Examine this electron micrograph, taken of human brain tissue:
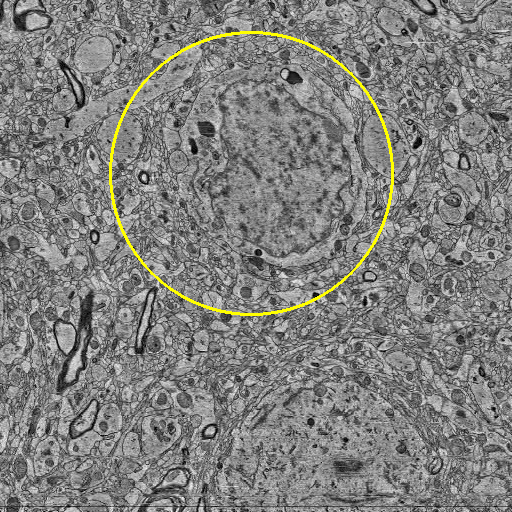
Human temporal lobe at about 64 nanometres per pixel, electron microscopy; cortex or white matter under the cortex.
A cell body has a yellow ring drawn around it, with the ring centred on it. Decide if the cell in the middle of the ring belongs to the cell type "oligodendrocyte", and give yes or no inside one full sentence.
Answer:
No, the cell at the centre of the yellow ring in this picture is of a different type.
